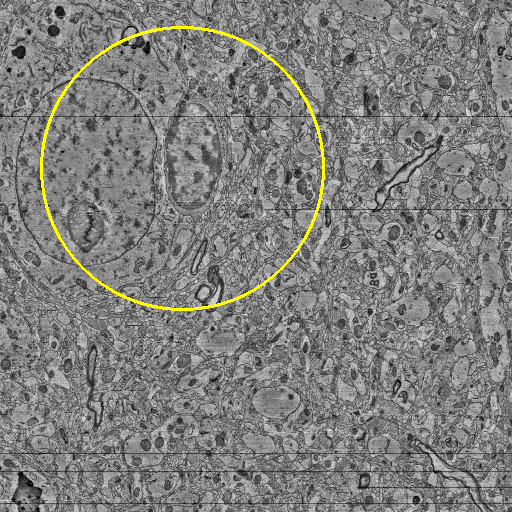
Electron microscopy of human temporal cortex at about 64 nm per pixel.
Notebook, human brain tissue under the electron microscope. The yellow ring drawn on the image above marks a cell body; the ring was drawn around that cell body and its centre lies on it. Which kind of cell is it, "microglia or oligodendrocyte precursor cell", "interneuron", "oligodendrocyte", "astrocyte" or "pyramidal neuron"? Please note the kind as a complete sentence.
The marked cell body is that of an oligodendrocyte.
